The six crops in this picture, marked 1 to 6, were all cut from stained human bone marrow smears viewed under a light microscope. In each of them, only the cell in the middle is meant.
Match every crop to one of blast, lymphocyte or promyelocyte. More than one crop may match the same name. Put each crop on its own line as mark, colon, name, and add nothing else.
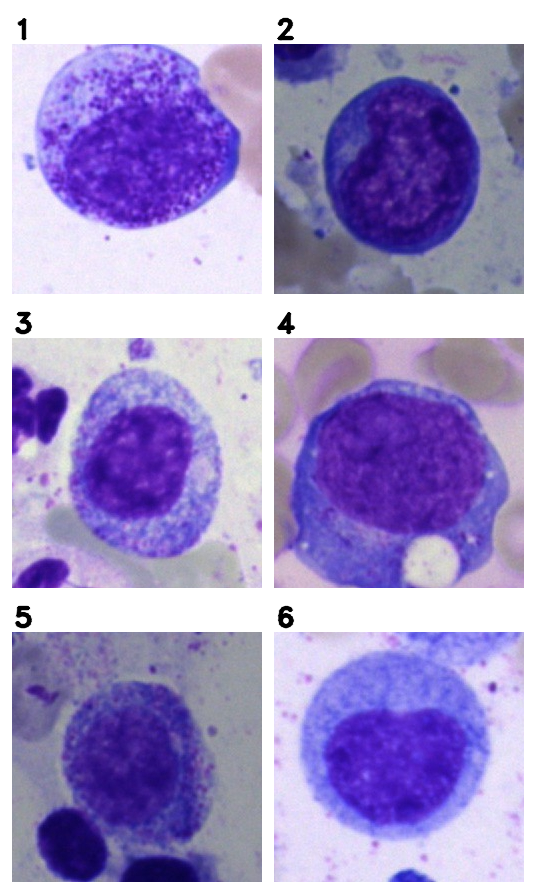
1: promyelocyte
2: blast
3: promyelocyte
4: blast
5: promyelocyte
6: promyelocyte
